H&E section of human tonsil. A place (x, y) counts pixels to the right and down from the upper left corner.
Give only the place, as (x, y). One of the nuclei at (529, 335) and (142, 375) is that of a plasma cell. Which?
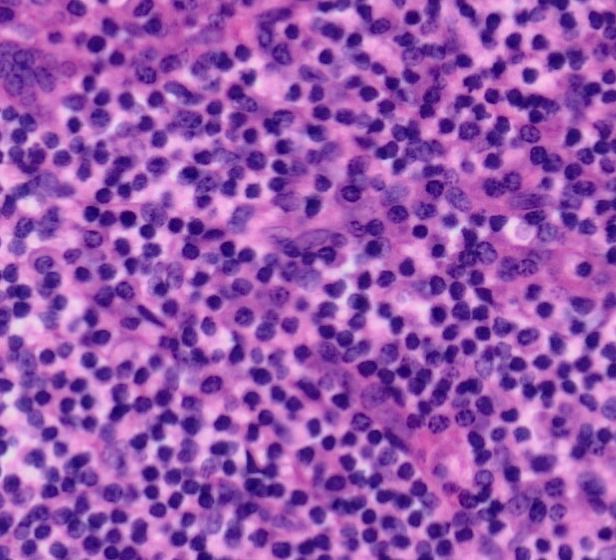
(529, 335)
